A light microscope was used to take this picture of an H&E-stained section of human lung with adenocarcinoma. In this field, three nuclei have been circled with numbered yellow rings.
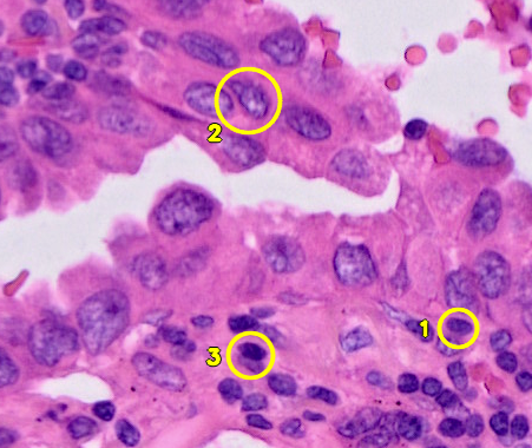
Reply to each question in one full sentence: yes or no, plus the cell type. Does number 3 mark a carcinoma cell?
No, the marked cell 3 is not a carcinoma cell, being instead a lymphocyte.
